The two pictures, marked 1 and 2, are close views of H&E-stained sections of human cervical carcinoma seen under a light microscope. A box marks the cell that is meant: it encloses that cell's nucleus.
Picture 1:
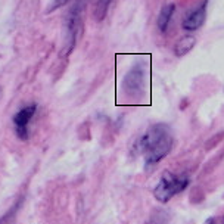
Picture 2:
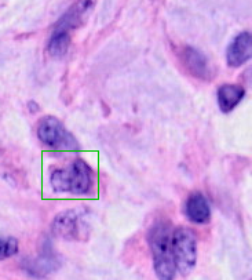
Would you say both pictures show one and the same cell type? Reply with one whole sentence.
No; the cell in picture 1 is a fibroblast, while the one in picture 2 is a “macrophage or monocyte”.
